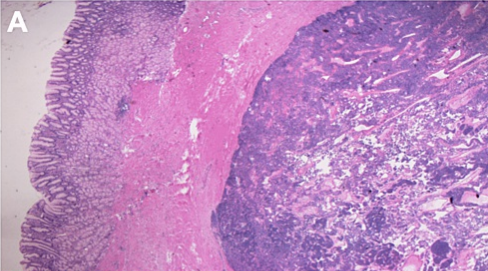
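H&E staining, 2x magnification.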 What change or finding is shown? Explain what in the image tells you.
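Well-circumscribed cellular neoplasm. A dense purple cellular mass on the right has a sharp border. The mass is separated from the mucosa on the left by a pink muscular layer.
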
